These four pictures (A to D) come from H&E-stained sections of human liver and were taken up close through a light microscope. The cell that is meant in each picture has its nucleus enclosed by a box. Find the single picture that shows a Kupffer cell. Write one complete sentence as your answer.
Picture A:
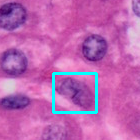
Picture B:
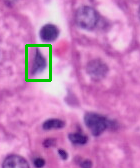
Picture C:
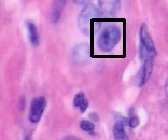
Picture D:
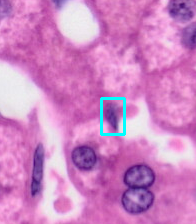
Picture A is the one that shows the Kupffer cell.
